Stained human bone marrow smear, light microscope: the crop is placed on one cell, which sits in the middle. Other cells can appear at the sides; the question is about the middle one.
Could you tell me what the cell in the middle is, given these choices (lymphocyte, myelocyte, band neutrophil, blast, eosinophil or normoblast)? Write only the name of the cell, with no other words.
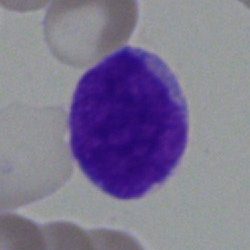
blast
